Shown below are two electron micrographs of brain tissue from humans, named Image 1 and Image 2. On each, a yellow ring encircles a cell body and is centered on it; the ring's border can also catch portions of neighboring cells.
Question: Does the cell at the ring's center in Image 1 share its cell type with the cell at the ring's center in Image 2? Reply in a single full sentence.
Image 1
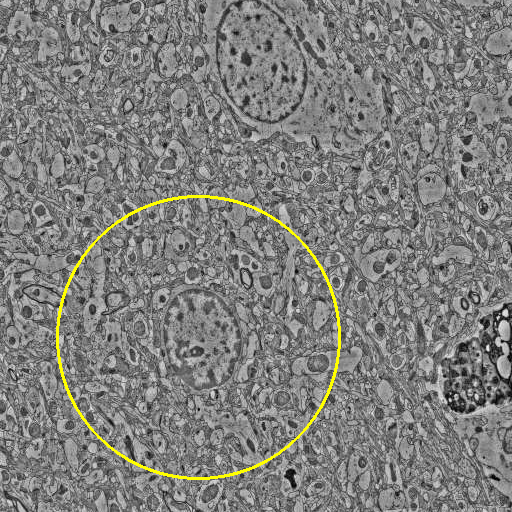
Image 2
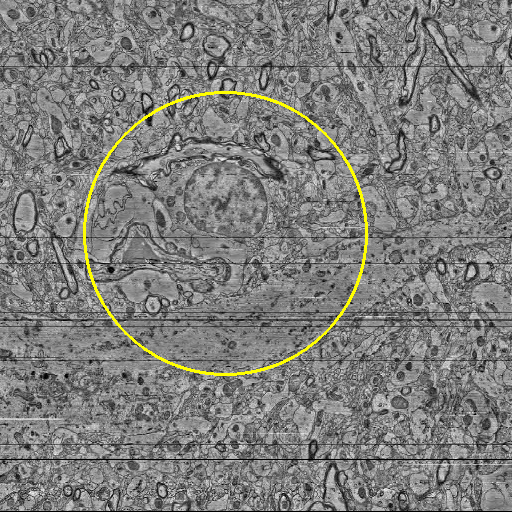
Yes, the two cells at the ring centers, in Image 1 and Image 2, share one cell type.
